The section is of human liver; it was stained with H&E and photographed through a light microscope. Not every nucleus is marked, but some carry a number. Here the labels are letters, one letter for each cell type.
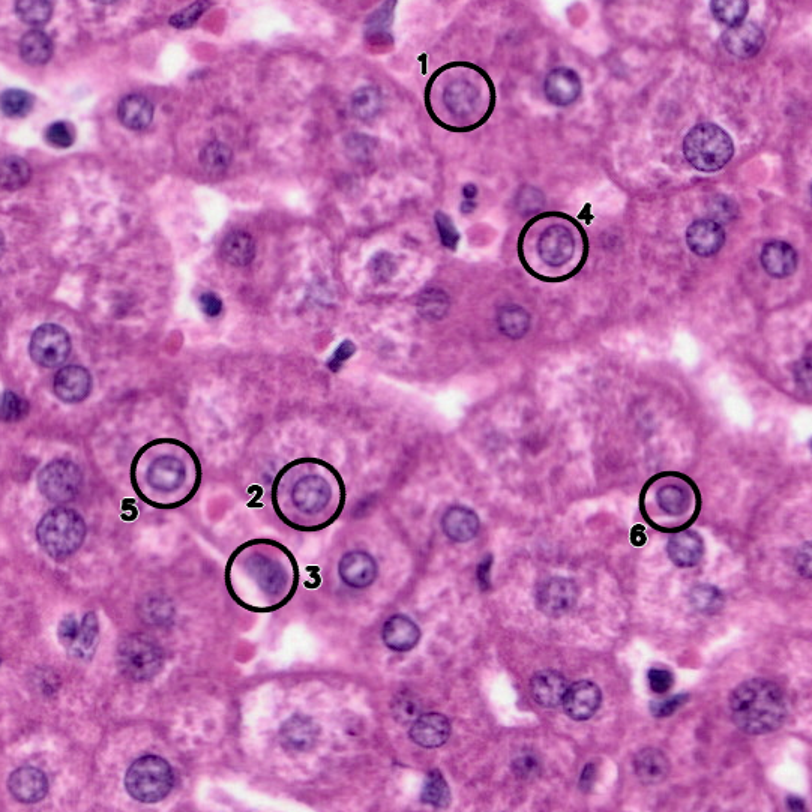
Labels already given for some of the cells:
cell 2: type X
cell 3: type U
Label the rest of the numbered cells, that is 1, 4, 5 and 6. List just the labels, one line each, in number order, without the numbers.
type X
type X
type X
type U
